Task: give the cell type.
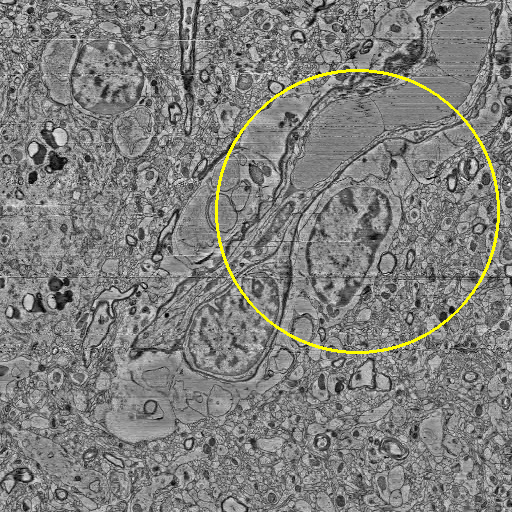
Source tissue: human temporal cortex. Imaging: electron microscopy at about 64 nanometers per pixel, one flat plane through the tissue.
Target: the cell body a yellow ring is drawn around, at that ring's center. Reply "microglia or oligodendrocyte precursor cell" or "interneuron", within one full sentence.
In this picture, the cell whose body lies at the ring's center is a microglial cell or oligodendrocyte precursor cell.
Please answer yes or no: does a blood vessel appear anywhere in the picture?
Yes, the image shows a blood vessel.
